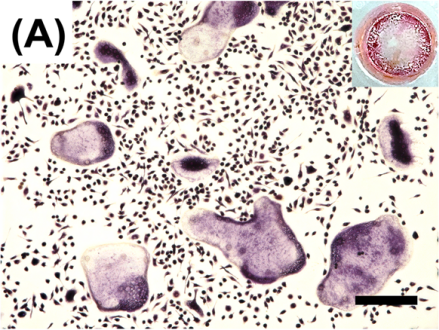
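This culture shows scattered osteoclasts standing out as giant, flattened cells stained purple among a dense lawn of small mononuclear cells. The giant cells are rounded, oval or irregularly lobed, and many are several times wider than the cells around them. Their purple staining is often uneven, with a paler centre and a darker rim or darker patches. The small surrounding cells are round to spindle-shaped and stain darkly, spread fairly evenly across the dish between the large cells.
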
